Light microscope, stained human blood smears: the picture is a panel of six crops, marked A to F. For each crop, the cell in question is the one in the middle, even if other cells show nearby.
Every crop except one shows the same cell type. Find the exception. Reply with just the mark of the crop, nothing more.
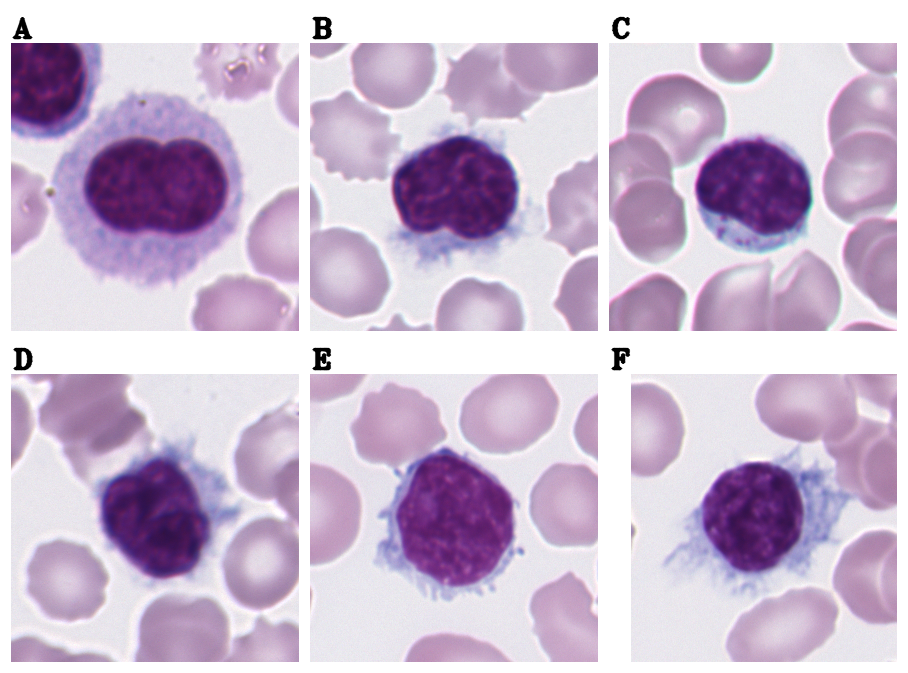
C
